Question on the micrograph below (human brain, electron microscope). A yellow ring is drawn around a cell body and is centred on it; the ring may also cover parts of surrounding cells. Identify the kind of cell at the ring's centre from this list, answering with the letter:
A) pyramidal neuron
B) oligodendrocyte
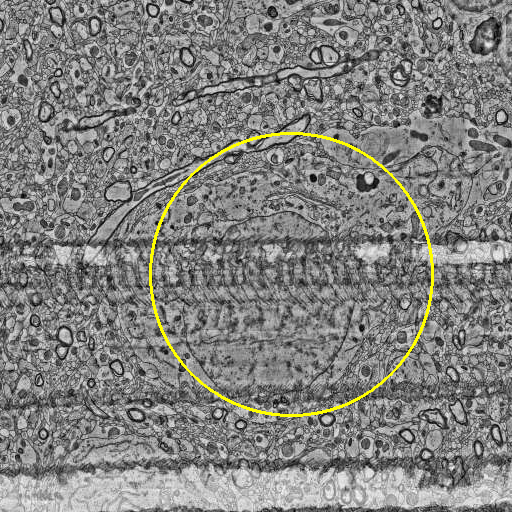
A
